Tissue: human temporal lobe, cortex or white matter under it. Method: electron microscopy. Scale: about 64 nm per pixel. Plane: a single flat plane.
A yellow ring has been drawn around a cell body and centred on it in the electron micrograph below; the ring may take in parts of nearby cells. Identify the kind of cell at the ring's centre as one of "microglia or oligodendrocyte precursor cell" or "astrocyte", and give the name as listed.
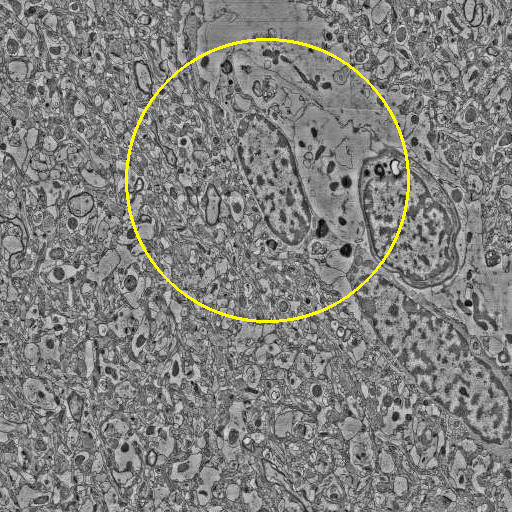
microglia or oligodendrocyte precursor cell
